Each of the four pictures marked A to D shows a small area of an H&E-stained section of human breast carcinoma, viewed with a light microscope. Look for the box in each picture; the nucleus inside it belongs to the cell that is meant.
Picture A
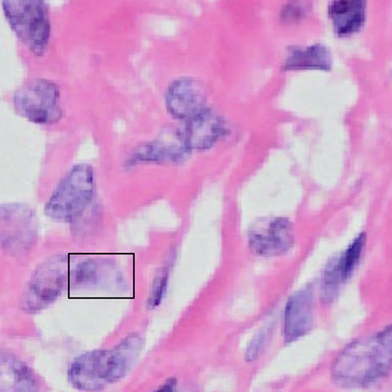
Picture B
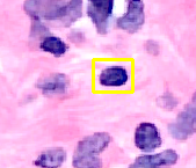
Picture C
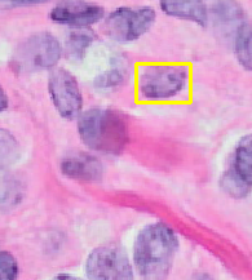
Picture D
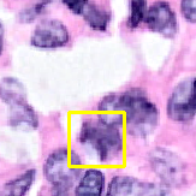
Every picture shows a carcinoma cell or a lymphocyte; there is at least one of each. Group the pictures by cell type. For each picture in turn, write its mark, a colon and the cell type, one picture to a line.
A: carcinoma cell
B: lymphocyte
C: carcinoma cell
D: carcinoma cell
